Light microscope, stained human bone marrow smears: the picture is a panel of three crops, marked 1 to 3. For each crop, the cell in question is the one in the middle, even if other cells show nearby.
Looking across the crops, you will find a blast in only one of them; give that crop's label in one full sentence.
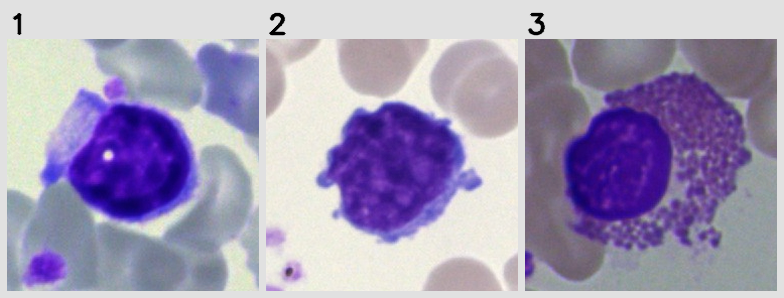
Of the crops given, a blast is found in crop 2.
